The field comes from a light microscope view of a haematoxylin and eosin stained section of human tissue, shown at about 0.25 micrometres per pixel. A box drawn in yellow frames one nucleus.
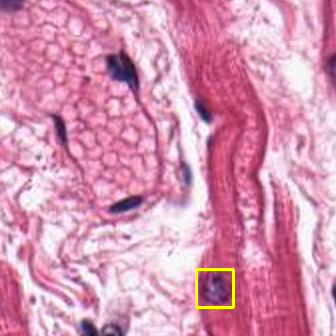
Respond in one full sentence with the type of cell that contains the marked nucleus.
The mark falls on a nucleus belonging to a cardiomyocyte.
